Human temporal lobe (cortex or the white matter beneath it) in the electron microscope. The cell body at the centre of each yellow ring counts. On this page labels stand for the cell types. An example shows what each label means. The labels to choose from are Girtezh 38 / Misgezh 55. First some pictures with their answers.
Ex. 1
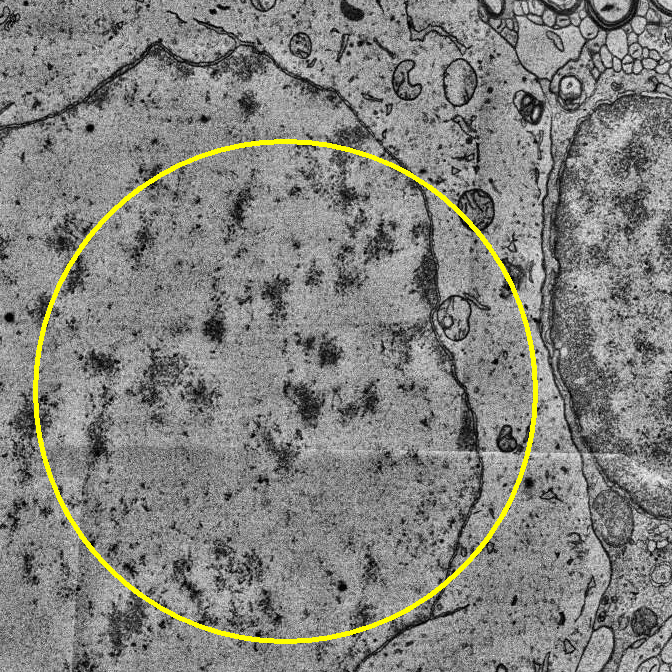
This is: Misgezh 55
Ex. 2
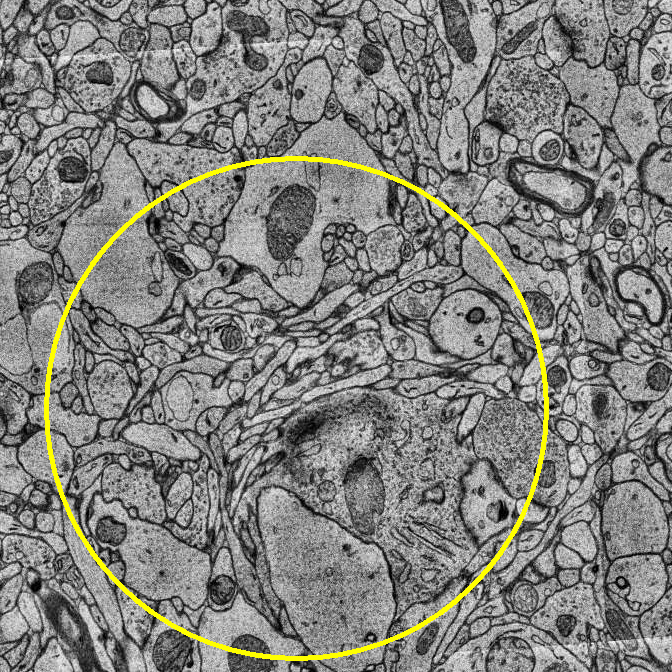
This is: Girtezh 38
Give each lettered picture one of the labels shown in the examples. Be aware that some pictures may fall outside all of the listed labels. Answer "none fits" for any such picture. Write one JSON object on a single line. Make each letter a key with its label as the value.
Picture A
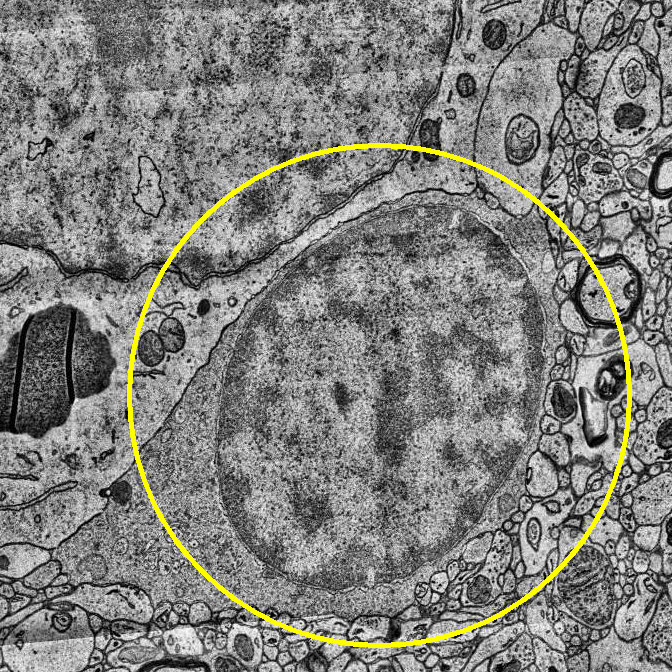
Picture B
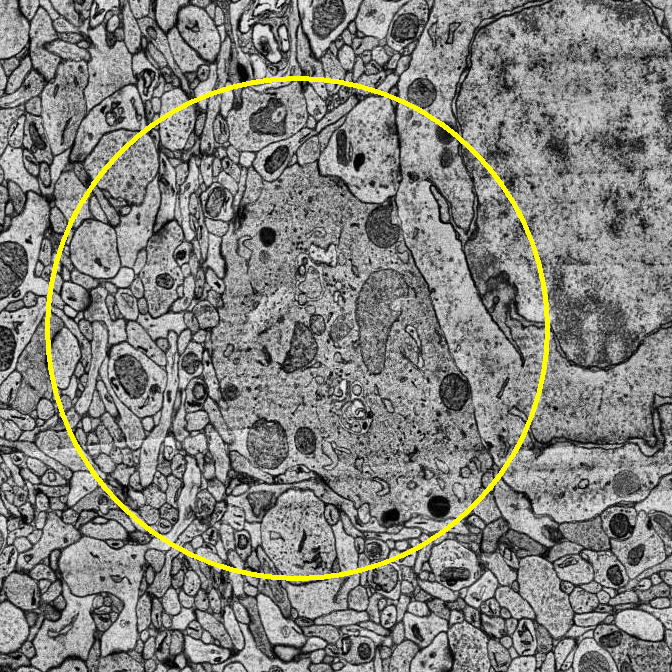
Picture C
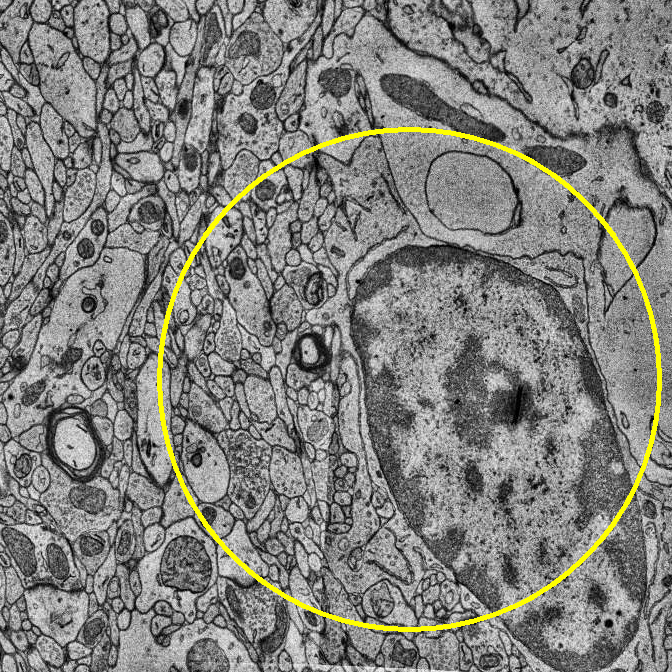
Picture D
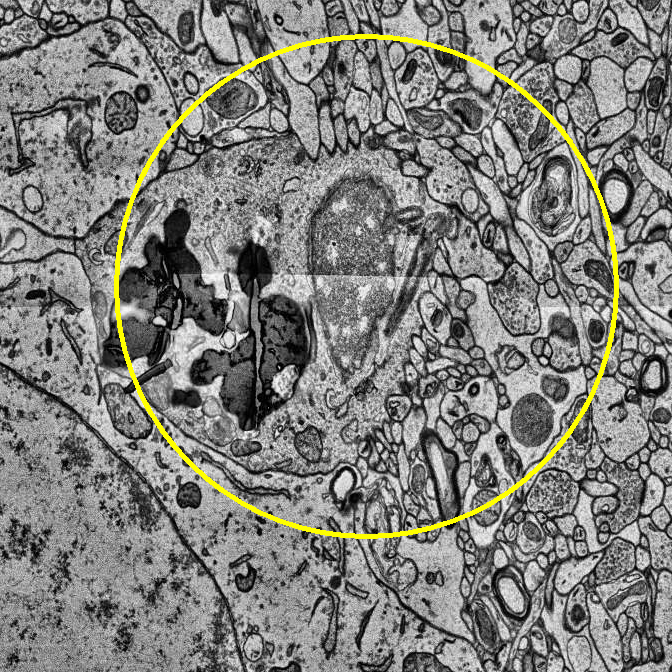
{"A": "Girtezh 38", "B": "Girtezh 38", "C": "none fits", "D": "Girtezh 38"}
